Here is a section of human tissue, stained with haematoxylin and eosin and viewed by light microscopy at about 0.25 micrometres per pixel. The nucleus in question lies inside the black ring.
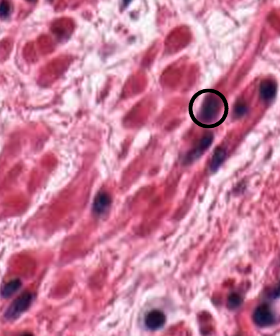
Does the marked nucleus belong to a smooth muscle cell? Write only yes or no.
yes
